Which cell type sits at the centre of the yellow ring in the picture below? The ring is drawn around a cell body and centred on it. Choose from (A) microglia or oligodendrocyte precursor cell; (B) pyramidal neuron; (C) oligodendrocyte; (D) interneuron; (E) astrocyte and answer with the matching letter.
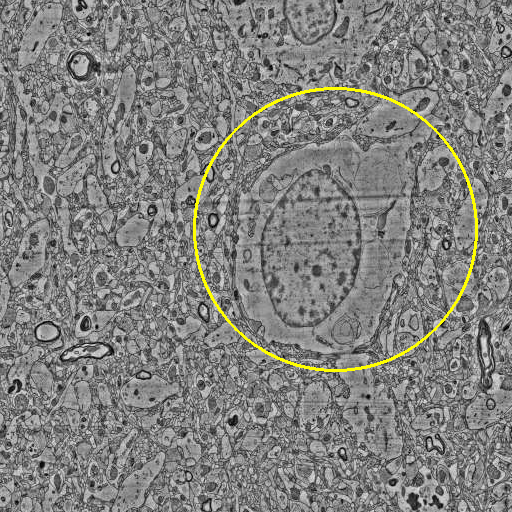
E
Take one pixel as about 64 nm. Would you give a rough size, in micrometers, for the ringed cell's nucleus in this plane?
Approximately 9 by 7 micrometers in this plane.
